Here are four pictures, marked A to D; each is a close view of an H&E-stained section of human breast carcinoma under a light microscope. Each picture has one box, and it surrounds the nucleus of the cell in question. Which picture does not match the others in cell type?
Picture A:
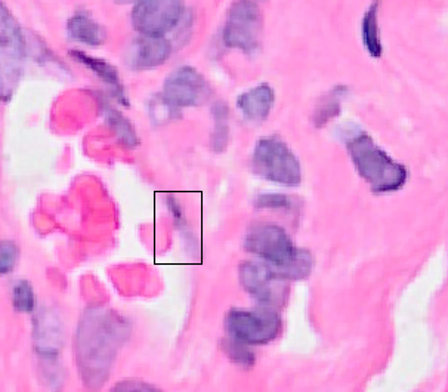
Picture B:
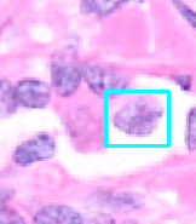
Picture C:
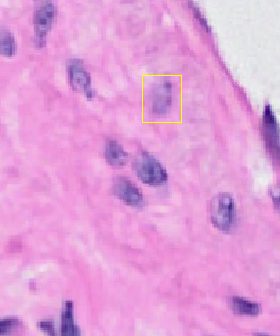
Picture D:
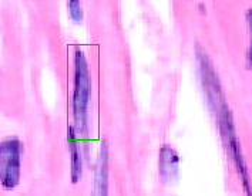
B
